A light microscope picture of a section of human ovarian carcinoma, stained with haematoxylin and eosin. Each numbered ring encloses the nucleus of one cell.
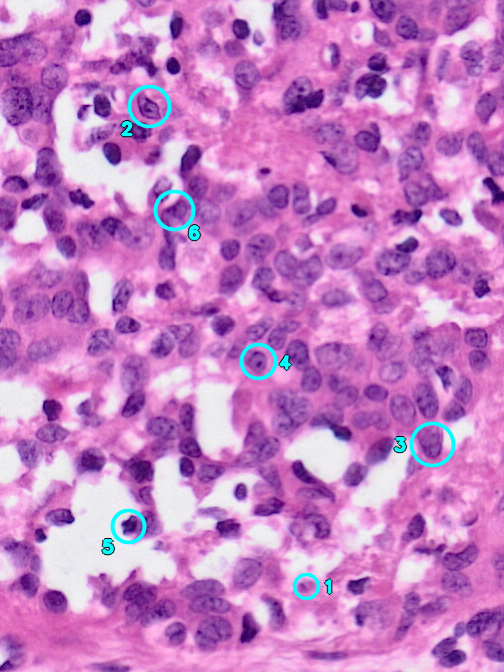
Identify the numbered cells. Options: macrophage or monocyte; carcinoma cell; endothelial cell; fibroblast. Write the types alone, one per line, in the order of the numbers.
macrophage or monocyte
macrophage or monocyte
carcinoma cell
macrophage or monocyte
carcinoma cell
carcinoma cell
